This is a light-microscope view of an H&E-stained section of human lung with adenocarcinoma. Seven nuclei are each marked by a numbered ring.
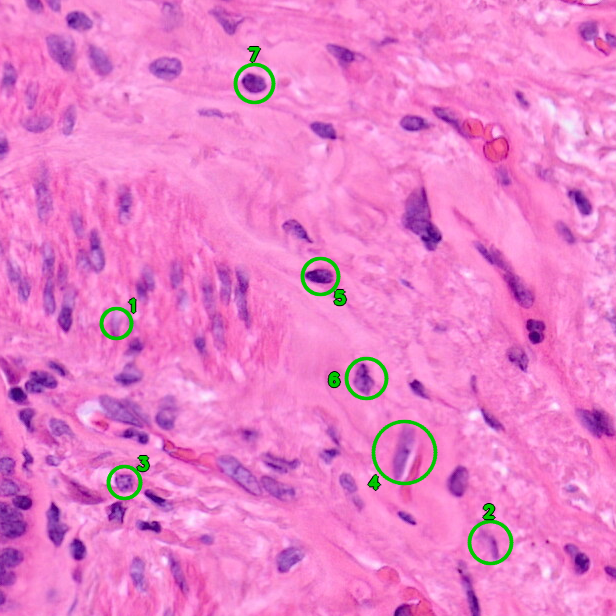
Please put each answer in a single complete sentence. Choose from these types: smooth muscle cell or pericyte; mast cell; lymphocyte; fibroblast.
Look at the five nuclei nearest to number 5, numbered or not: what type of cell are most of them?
Smooth muscle cells or pericytes make up most of the five nuclei closest to number 5.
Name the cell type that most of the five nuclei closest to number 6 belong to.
The majority of the five nuclei closest to number 6 belong to fibroblasts.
